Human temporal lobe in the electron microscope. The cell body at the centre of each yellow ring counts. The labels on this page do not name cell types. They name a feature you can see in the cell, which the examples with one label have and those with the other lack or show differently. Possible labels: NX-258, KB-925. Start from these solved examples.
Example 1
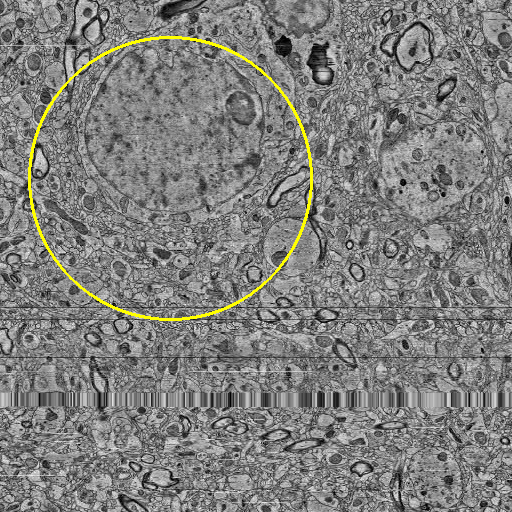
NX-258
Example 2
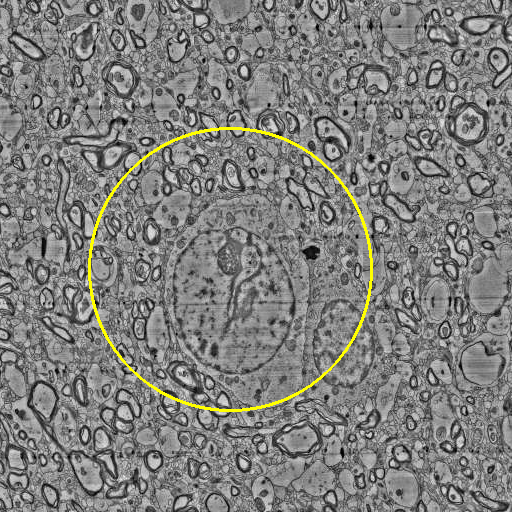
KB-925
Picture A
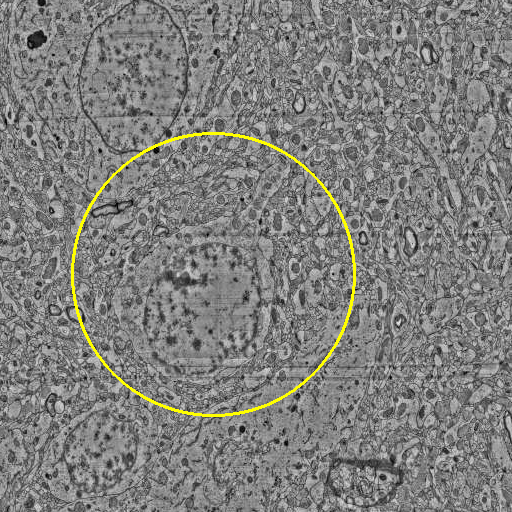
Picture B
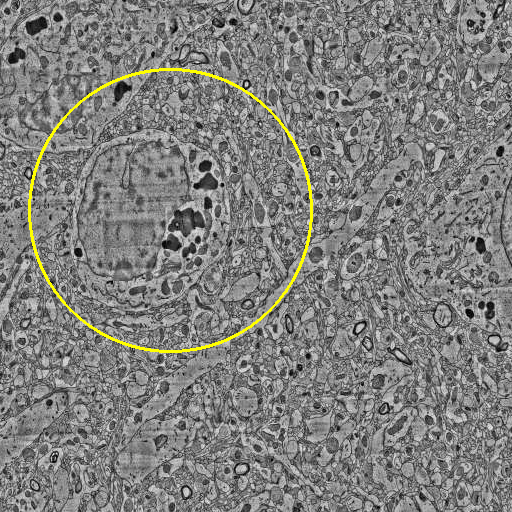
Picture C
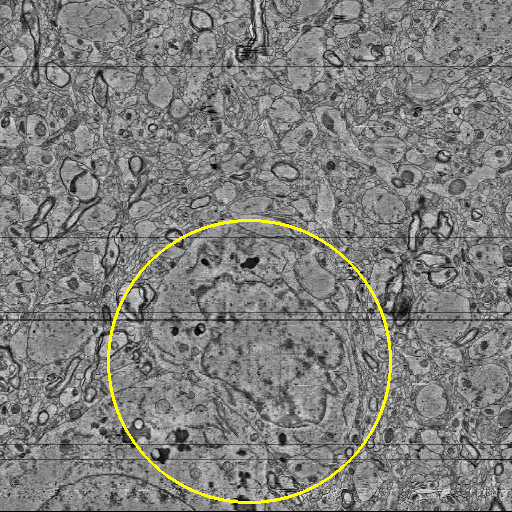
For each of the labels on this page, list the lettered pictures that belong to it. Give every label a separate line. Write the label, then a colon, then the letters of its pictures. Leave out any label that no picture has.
NX-258: A
KB-925: B, C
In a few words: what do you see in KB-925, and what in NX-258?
KB-925, deeply folded or indented nuclear envelopes; NX-258, smooth nuclear envelopes without deep folds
